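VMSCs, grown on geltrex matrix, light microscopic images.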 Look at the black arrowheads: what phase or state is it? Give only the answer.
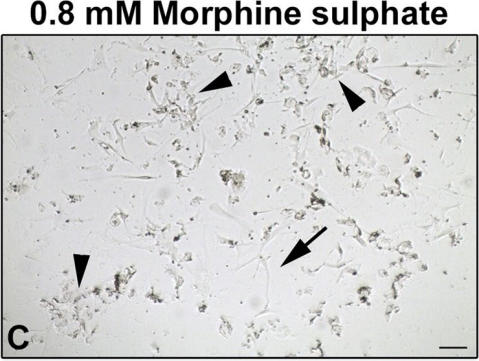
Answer: Dead.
